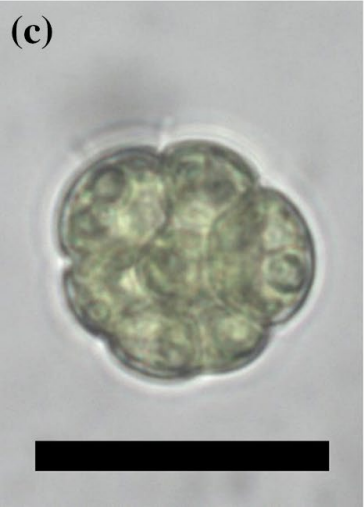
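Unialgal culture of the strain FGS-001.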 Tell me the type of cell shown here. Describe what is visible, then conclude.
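Autospores. A rounded cluster of several small cells packed together inside a common outline.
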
